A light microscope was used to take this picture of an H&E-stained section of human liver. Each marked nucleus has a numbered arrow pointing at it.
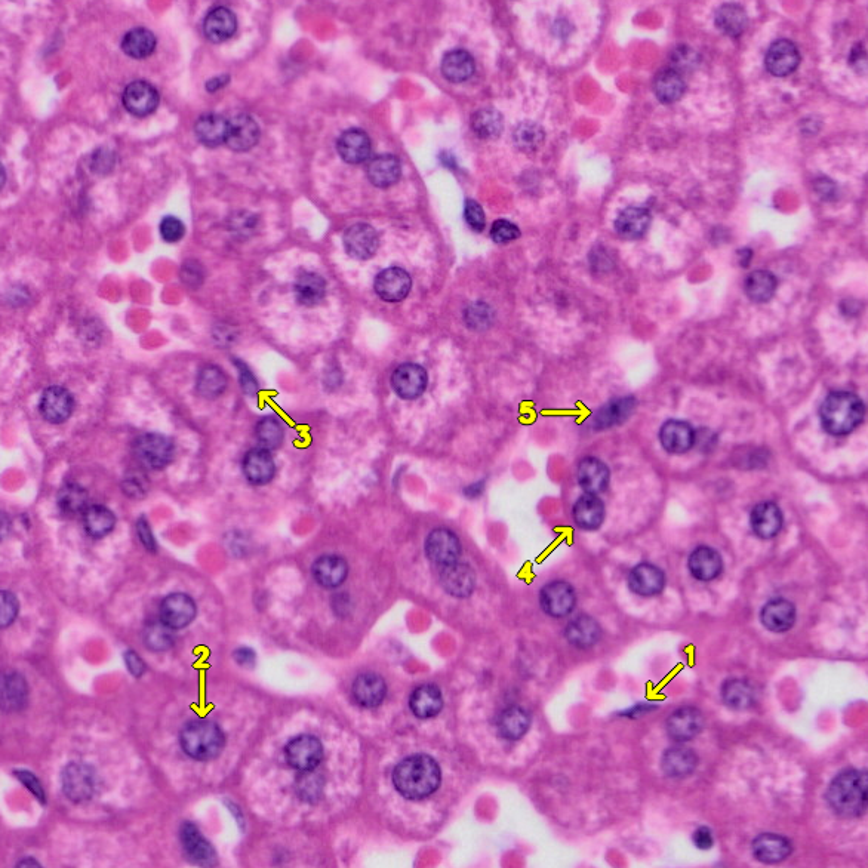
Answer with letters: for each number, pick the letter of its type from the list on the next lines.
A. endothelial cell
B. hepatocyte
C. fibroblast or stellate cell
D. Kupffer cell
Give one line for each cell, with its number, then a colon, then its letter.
1: A
2: B
3: D
4: B
5: C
